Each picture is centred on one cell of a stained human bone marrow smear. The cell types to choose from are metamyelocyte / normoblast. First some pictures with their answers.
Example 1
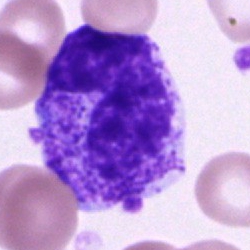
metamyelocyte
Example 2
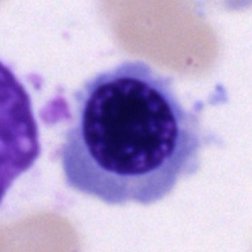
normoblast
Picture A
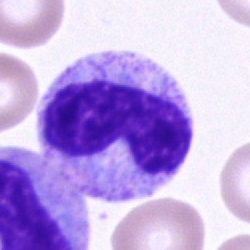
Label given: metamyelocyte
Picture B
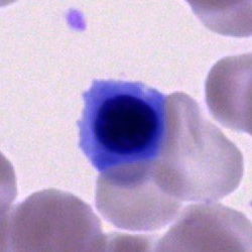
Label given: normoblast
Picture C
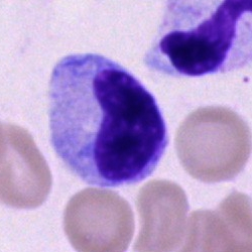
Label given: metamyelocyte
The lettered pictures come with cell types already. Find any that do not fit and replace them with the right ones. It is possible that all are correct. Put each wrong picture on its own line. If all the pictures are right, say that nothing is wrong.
No label is wrong.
